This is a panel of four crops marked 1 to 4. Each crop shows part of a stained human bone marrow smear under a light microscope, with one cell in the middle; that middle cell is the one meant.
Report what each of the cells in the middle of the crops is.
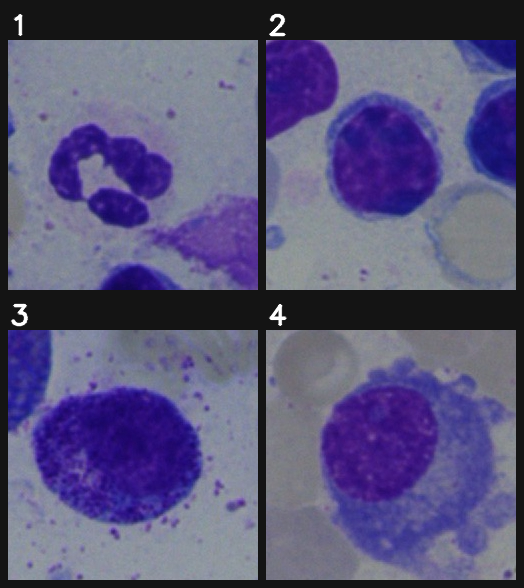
1: segmented neutrophil
2: lymphocyte
3: myelocyte
4: plasma cell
